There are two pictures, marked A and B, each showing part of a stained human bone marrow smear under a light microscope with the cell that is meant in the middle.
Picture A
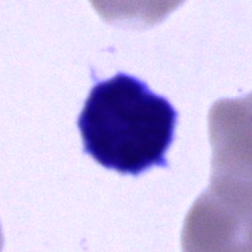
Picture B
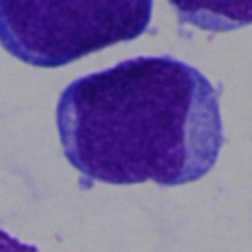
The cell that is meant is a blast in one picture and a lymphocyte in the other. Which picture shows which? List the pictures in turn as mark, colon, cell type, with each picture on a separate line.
A: lymphocyte
B: blast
